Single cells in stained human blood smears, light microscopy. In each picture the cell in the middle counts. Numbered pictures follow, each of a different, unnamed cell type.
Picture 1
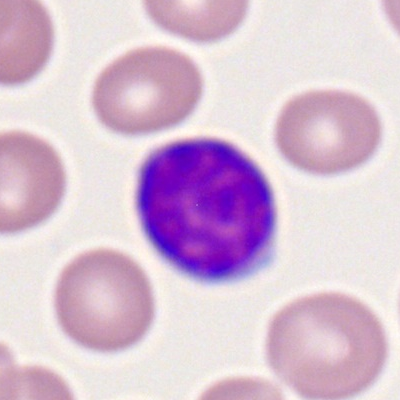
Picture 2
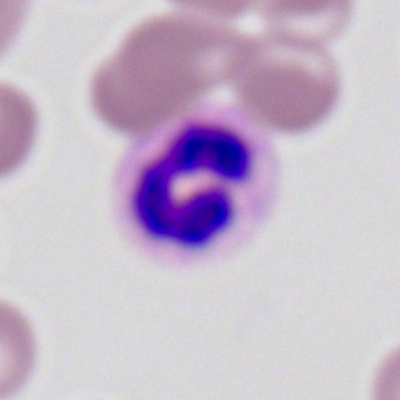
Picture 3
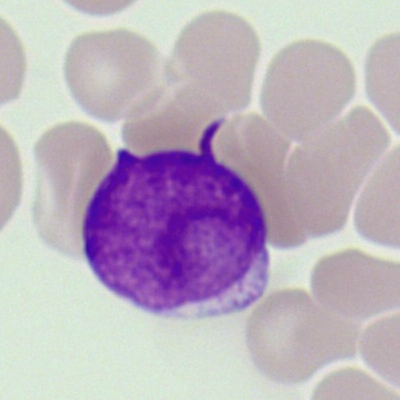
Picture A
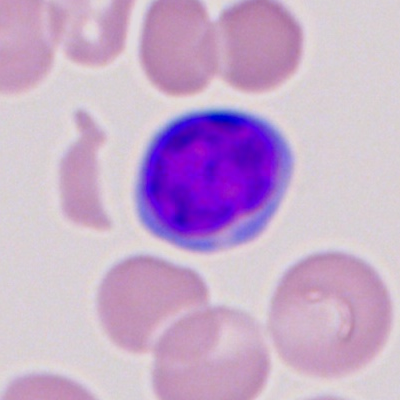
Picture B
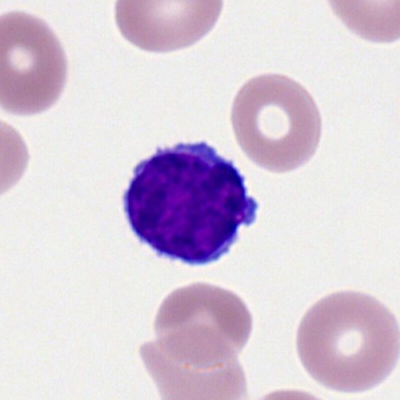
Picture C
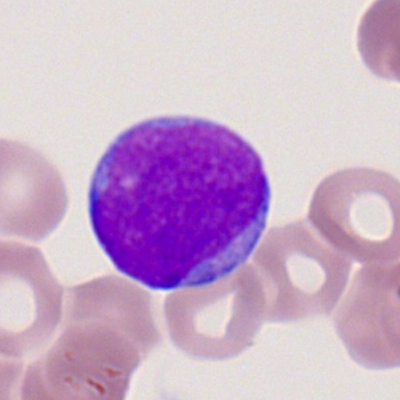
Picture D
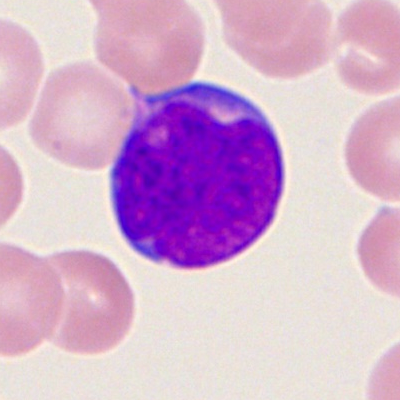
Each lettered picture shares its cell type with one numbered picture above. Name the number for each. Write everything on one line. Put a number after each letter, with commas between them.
A 1, B 1, C 3, D 3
